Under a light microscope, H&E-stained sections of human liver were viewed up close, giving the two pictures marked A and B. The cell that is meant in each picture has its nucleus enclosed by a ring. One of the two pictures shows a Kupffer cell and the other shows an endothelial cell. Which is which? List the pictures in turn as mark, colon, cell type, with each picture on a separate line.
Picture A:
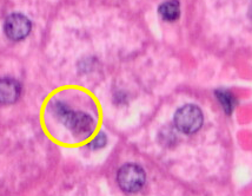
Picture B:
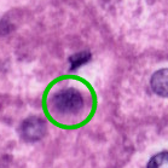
A: Kupffer cell
B: endothelial cell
